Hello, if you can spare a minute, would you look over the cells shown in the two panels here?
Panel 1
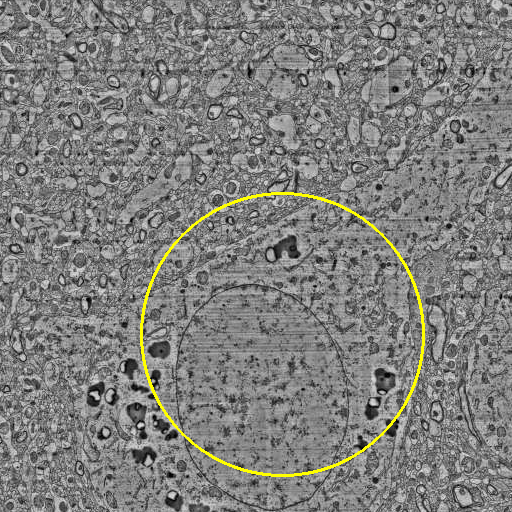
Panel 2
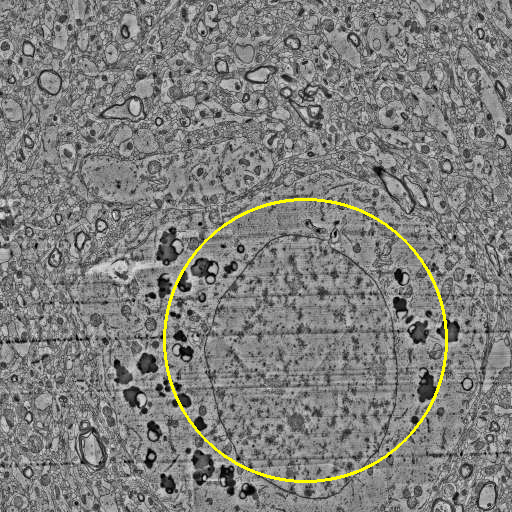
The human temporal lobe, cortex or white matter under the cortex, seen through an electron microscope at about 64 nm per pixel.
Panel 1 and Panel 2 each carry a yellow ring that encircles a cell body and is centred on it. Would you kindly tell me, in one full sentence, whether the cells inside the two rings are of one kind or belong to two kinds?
The cells at the centres of the rings in Panel 1 and Panel 2 are of one kind.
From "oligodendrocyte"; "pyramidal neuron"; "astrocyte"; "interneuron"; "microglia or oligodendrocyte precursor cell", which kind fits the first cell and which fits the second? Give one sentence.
The second cell is a pyramidal neuron, just as the first is.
